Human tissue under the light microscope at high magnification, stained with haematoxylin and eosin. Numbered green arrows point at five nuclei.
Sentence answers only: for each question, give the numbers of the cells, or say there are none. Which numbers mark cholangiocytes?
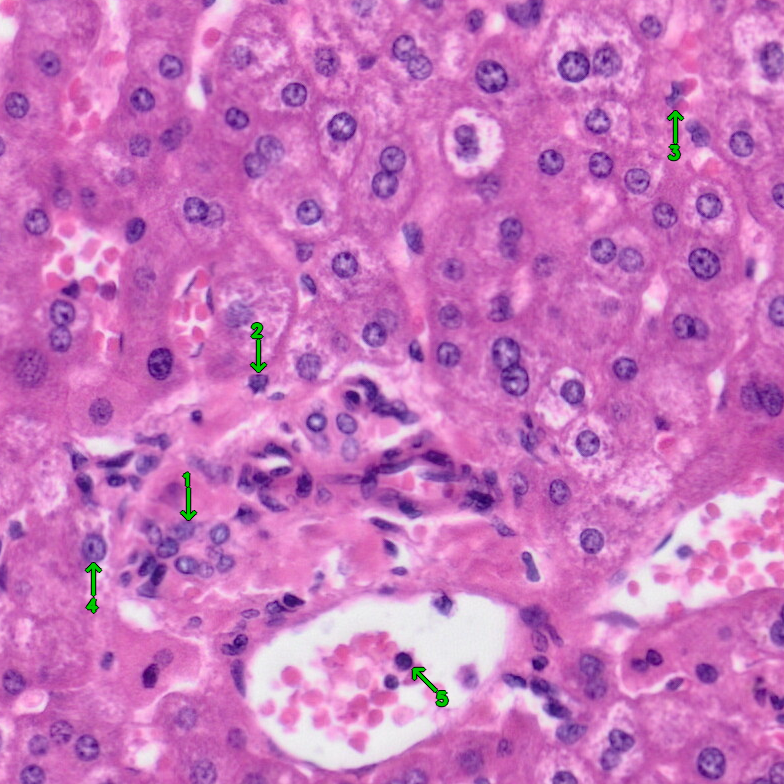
Cell 1 is a cholangiocyte, while all remaining marked cells are of other types.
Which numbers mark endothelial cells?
Cell 3 is an endothelial cell, while all remaining marked cells are of other types.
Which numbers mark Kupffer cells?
Nowhere among the numbered cells do Kupffer cells occur.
